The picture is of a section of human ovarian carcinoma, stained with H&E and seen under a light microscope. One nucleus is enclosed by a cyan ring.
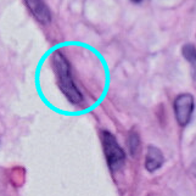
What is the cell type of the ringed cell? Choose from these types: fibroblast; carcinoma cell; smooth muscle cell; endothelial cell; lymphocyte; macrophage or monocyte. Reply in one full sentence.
Histopathologically, the ringed cell is an endothelial cell.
